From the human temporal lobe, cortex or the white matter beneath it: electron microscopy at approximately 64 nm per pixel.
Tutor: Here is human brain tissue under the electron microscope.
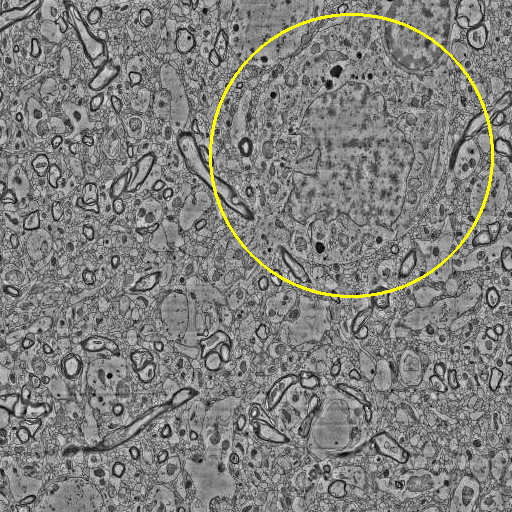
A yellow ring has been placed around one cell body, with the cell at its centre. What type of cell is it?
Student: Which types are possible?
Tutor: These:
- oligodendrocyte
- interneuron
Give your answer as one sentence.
What the ring picks out here is an interneuron.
